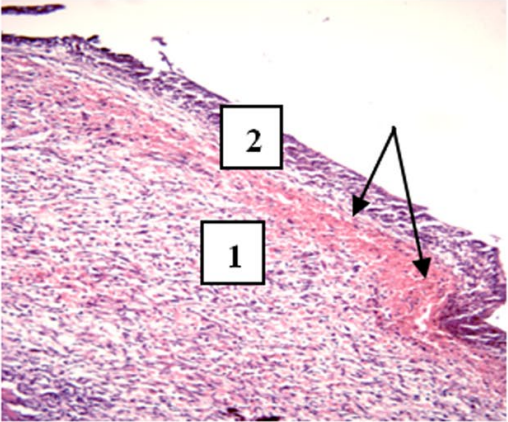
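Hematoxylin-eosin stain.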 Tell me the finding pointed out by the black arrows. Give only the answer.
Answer: accumulations of erythrocytes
